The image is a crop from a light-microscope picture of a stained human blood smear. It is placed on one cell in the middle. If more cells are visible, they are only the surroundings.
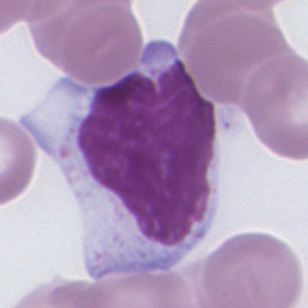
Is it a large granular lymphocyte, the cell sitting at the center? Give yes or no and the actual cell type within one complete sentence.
Yes, this is a large granular lymphocyte, the cell in the middle of the crop.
